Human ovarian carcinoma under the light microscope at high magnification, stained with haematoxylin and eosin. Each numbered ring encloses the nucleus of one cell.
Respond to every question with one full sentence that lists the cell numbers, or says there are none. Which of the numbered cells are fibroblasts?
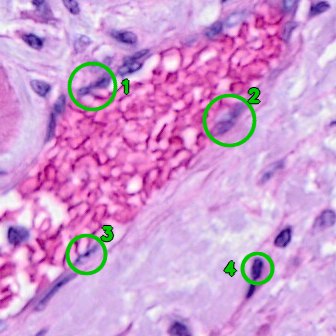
Of all the numbered cells, not one is counted among the fibroblasts.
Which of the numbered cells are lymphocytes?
Among the numbered nuclei, only the one labelled 4 belongs to a lymphocyte.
